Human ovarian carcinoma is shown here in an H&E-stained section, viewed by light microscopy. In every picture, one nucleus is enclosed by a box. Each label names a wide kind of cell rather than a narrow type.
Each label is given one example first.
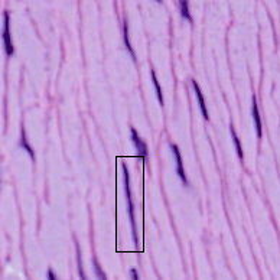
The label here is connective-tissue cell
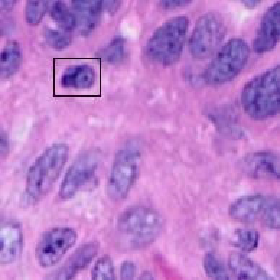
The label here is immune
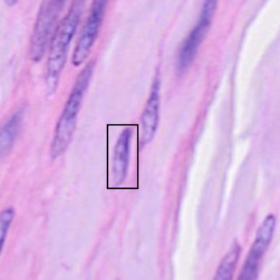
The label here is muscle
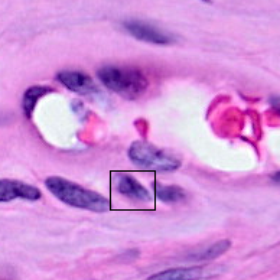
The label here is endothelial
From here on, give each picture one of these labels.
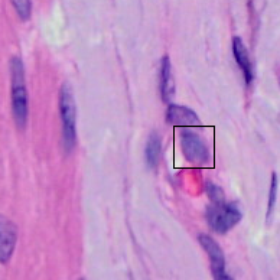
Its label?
endothelial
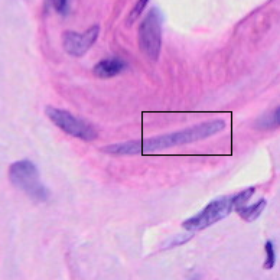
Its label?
muscle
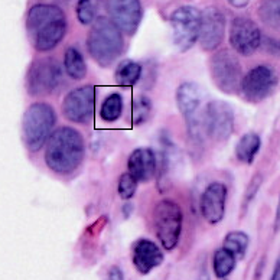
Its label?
immune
